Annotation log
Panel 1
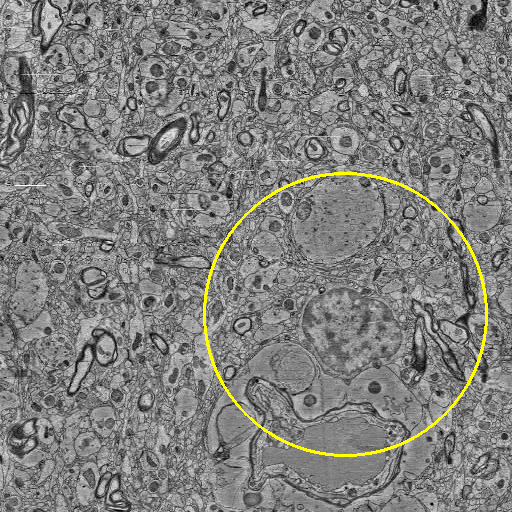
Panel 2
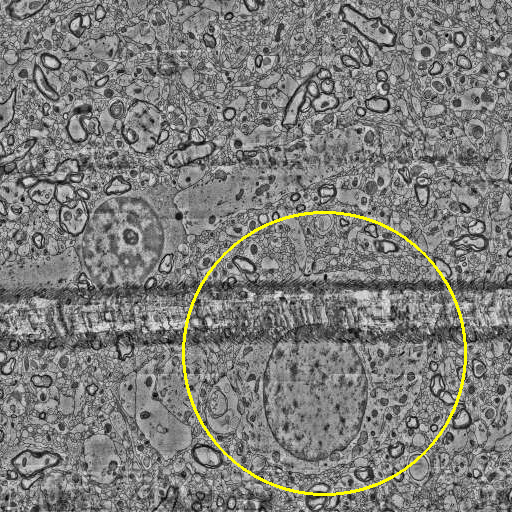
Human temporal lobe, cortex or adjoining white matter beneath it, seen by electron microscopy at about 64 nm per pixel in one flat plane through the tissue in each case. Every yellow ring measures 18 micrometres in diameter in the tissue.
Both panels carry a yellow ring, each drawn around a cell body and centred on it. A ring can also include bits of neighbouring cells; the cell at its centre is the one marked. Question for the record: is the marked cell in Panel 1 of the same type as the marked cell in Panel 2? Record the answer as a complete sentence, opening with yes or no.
No, the marked cells in Panel 1 and Panel 2 are of two types.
